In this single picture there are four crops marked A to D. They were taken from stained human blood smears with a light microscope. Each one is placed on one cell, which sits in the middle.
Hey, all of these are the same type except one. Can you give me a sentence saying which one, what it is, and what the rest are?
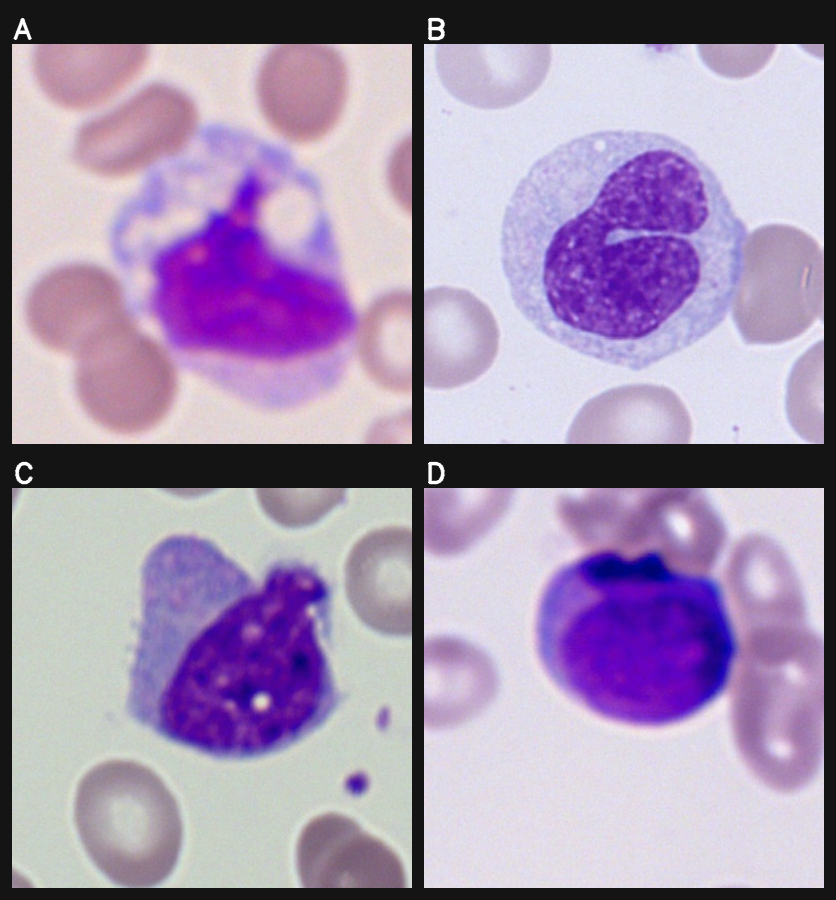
The exception is crop D, with a myeloblast; the remaining crops all show monocytes.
